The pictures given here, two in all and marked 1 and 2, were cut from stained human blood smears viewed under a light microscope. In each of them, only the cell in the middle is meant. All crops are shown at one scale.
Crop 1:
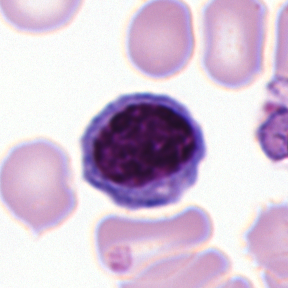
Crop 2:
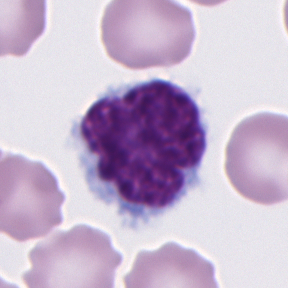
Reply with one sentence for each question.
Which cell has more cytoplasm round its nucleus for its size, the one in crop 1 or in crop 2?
It is the cell in crop 1 that is filled less by its nucleus.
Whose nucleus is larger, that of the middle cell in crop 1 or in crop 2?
Larger is the nucleus in crop 2, at roughly 1.5 times the area of the other.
